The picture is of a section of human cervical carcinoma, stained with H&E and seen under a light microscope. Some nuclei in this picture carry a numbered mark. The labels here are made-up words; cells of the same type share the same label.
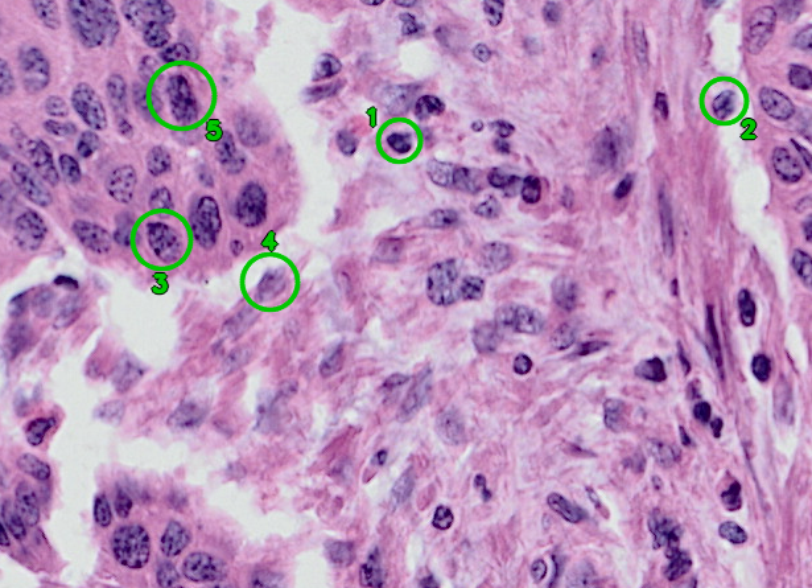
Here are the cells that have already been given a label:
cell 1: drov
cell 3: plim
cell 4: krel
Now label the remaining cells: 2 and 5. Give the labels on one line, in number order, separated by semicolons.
drov; plim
